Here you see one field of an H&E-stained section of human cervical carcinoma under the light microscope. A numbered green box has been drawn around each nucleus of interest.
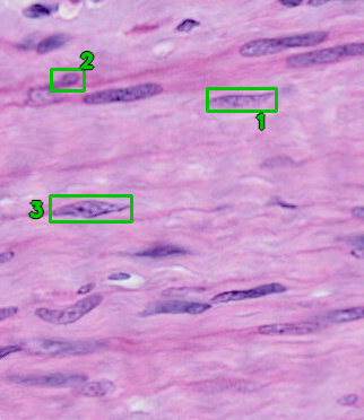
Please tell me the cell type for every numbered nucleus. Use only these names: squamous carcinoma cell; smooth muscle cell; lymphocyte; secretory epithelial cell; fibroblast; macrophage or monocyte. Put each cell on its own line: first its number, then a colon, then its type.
1: fibroblast
2: smooth muscle cell
3: fibroblast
